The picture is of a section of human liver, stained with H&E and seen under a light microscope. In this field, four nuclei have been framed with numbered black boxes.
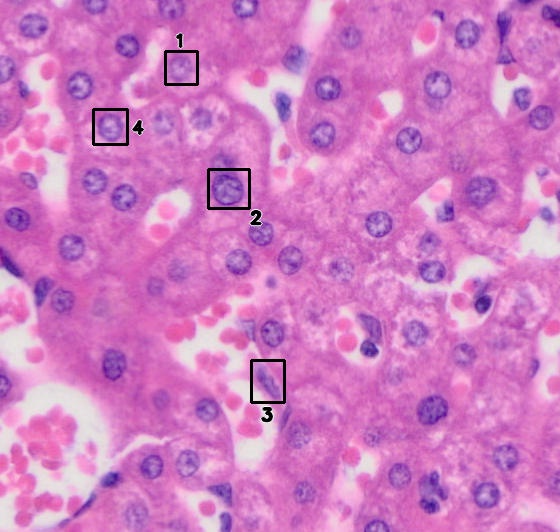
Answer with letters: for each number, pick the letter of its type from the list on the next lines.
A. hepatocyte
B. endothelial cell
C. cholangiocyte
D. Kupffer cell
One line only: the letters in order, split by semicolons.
A; A; D; A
